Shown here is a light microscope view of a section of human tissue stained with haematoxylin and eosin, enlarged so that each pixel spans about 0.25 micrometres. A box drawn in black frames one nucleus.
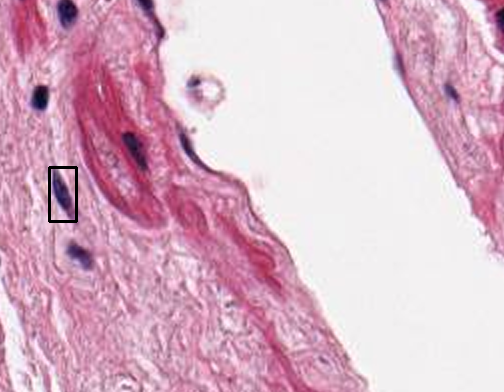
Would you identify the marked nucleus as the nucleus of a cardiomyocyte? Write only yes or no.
no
